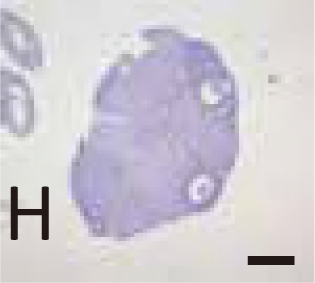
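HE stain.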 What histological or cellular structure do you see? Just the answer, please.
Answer: Ovarian follicles.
